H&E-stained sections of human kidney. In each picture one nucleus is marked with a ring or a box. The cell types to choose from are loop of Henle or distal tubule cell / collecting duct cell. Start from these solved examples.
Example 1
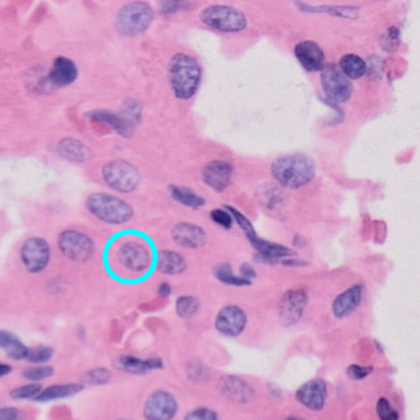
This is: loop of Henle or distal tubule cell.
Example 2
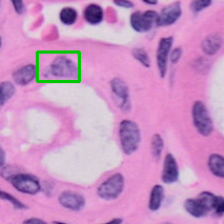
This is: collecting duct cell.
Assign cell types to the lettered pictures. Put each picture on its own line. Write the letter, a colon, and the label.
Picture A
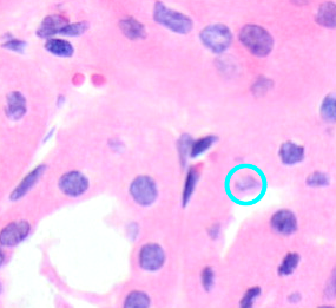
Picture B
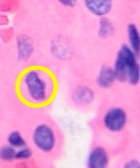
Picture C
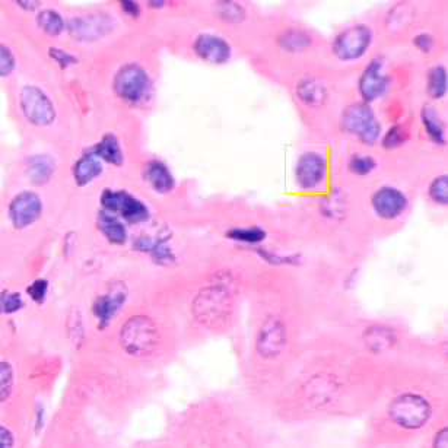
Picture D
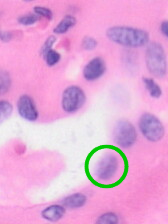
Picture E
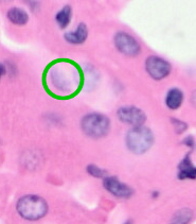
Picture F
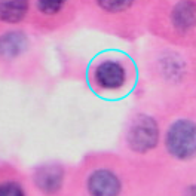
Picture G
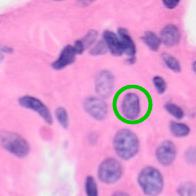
A: loop of Henle or distal tubule cell.
B: loop of Henle or distal tubule cell.
C: loop of Henle or distal tubule cell.
D: collecting duct cell.
E: collecting duct cell.
F: loop of Henle or distal tubule cell.
G: loop of Henle or distal tubule cell.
